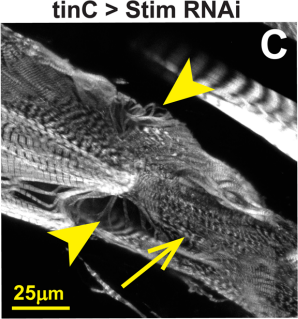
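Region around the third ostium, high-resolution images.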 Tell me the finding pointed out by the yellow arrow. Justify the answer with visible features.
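At the arrow, fibres run in crossing directions rather than parallel bands. Gaps lie between the fibres there.
Conclusion: disorganized myofibrils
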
